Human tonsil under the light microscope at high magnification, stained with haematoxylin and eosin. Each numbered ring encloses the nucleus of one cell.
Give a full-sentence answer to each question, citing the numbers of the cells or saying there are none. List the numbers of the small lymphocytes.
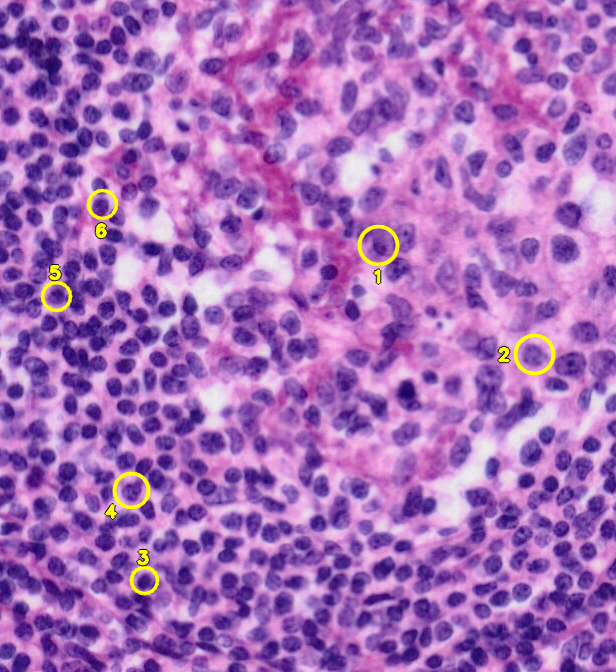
Cells 3, 4, 5 and 6 share one type; they are small lymphocytes.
